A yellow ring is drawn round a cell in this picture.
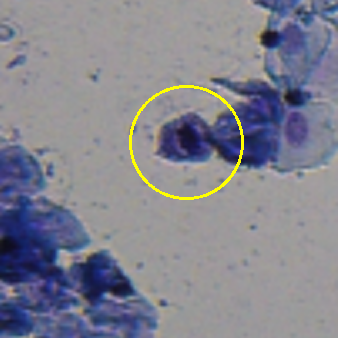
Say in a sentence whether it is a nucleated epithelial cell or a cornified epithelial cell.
The cell in the ring is a nucleated epithelial cell.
